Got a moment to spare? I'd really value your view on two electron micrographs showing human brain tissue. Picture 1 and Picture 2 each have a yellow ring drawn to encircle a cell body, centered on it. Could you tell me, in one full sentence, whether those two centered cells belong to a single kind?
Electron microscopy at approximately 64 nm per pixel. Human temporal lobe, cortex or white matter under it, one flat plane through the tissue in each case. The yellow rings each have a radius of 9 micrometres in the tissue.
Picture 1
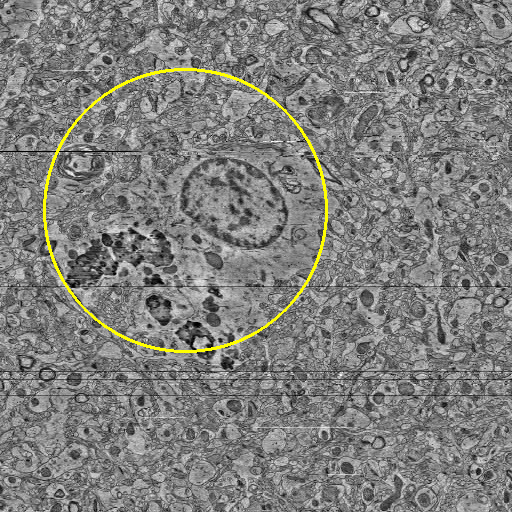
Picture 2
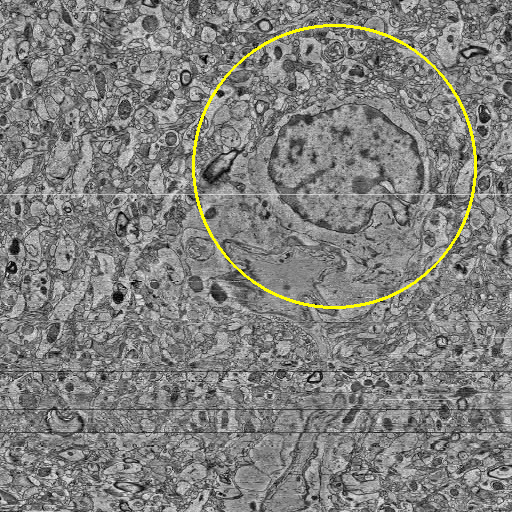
No, the two centered cells in Picture 1 and Picture 2 are of two kinds.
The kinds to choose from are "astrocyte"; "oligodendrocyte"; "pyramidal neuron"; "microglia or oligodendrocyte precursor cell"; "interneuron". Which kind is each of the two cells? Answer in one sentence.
Of the two, the first cell is an astrocyte and the second cell is a microglial cell or oligodendrocyte precursor cell.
